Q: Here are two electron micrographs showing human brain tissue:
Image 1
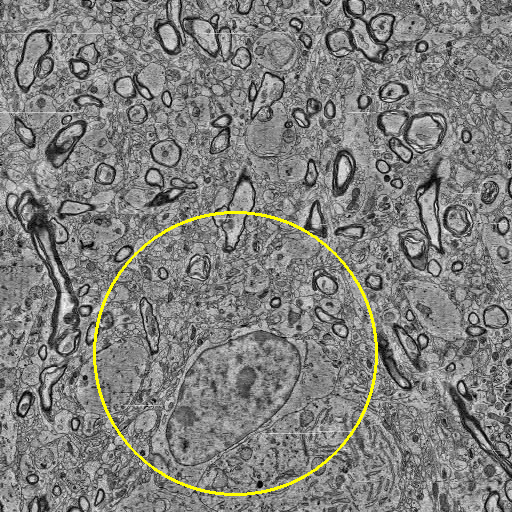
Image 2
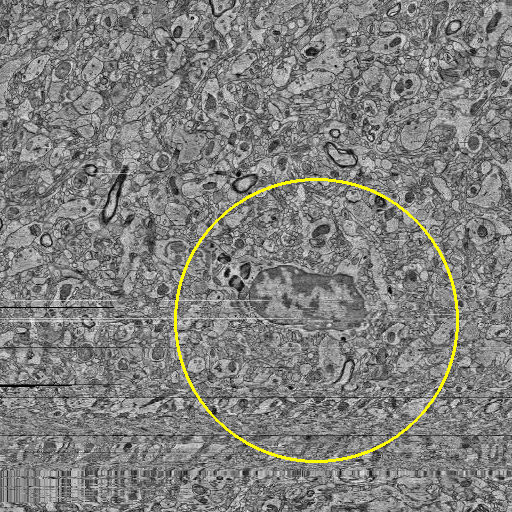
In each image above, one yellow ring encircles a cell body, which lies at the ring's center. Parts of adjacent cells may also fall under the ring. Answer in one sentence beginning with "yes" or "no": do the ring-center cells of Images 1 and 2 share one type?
Yes, in Images 1 and 2, the ring-center cells are both of one type.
